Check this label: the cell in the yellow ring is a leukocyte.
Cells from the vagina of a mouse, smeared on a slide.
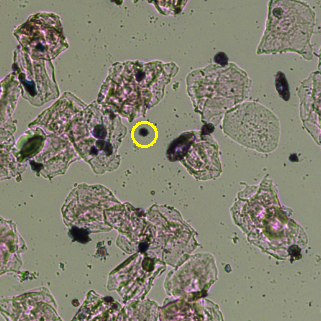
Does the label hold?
The label holds; the cell is a leukocyte.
